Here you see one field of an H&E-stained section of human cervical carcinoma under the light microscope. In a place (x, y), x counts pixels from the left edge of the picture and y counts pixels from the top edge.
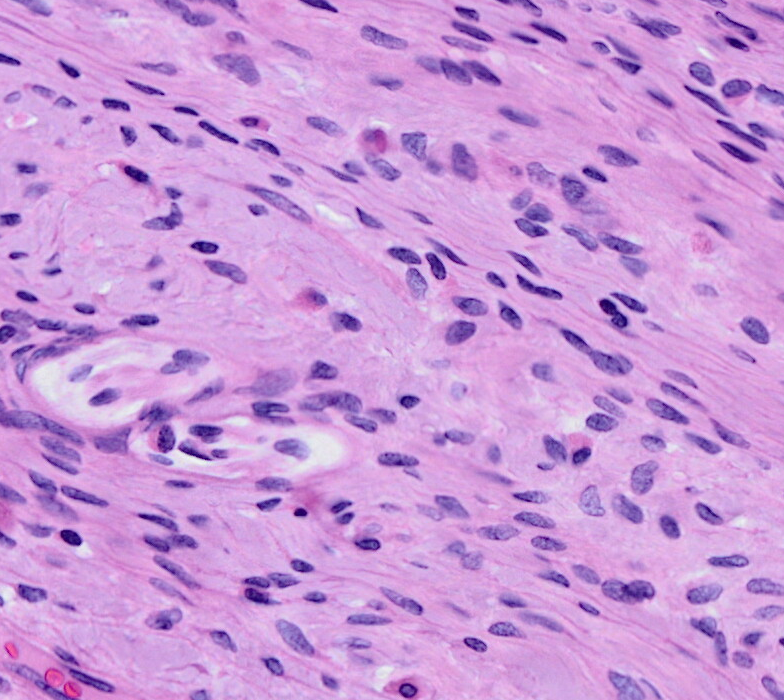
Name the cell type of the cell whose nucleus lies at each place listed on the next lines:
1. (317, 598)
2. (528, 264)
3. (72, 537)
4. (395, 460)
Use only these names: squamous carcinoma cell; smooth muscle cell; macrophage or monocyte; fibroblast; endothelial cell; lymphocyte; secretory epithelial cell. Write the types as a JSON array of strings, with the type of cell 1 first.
["fibroblast", "fibroblast", "lymphocyte", "fibroblast"]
